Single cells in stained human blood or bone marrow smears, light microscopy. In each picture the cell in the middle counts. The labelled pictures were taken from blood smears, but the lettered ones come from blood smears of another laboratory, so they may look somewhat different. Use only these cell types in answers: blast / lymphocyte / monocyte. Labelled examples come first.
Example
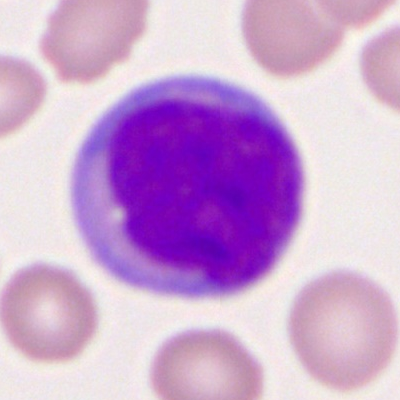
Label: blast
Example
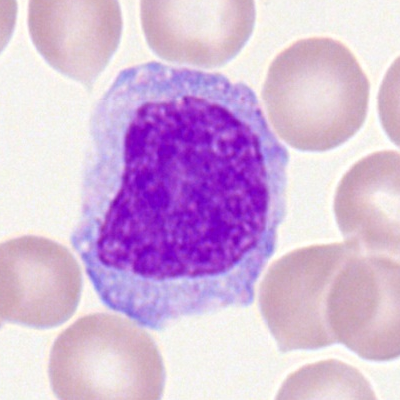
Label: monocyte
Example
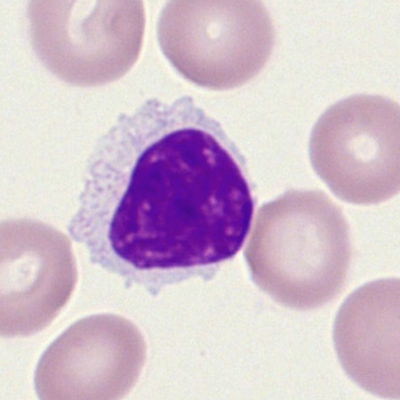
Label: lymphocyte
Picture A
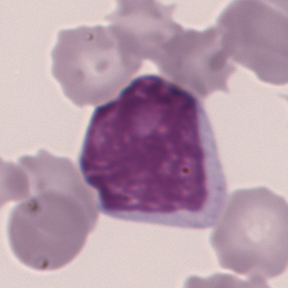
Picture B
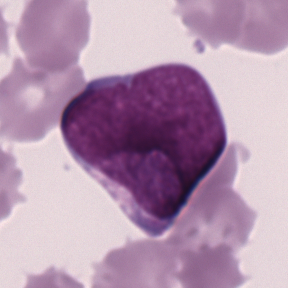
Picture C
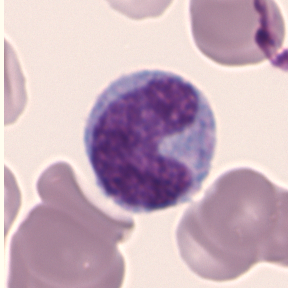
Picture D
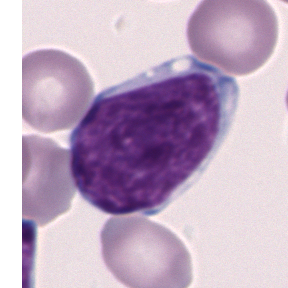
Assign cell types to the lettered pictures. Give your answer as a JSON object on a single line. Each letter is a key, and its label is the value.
{"A": "blast", "B": "blast", "C": "monocyte", "D": "blast"}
